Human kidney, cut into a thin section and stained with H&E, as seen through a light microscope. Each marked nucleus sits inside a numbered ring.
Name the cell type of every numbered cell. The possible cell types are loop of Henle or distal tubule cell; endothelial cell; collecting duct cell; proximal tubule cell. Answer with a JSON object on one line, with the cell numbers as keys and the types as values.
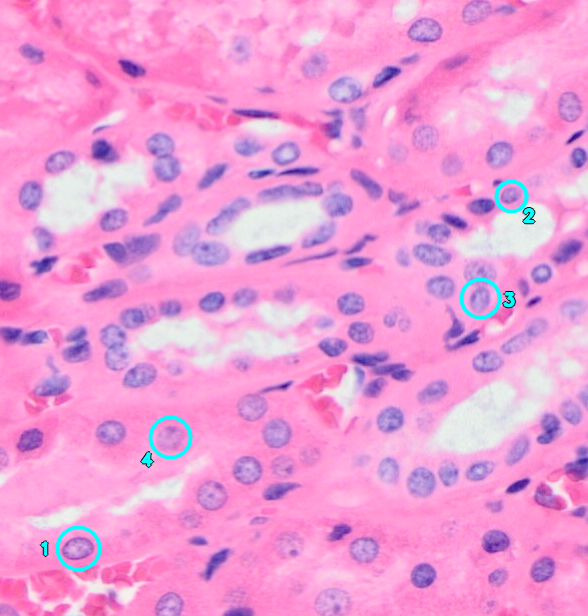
{"1": "proximal tubule cell", "2": "collecting duct cell", "3": "collecting duct cell", "4": "proximal tubule cell"}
